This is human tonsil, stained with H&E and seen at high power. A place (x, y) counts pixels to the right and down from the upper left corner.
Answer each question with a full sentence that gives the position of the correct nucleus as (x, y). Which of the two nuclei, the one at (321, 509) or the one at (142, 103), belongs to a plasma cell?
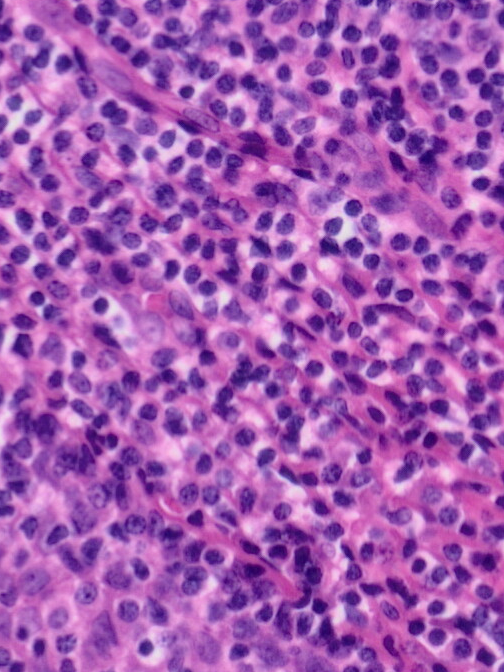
The nucleus of a plasma cell lies at (321, 509), not at the other position.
